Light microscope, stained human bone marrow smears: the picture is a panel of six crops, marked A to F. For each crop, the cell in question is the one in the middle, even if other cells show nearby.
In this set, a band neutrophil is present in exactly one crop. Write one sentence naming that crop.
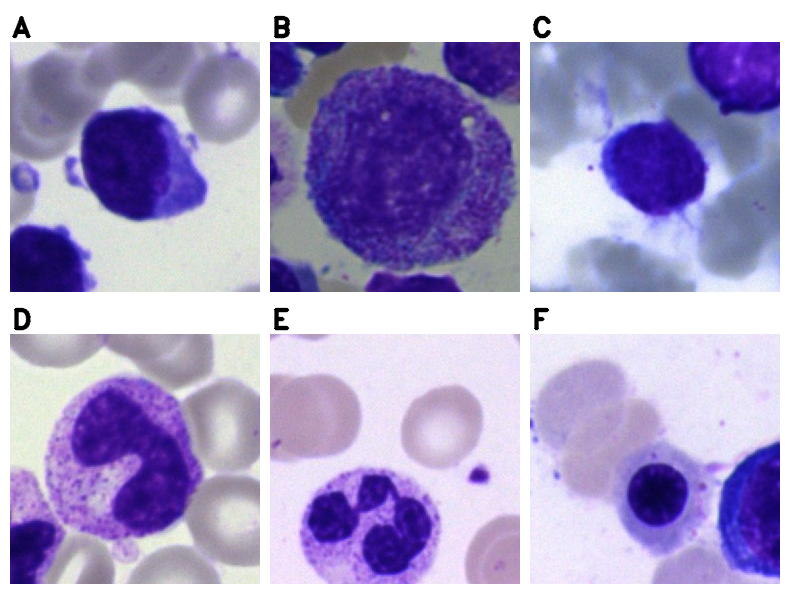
Crop D is identified as the crop showing a band neutrophil.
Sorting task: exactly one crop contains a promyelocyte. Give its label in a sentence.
The crop marked B is the one that shows a promyelocyte.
